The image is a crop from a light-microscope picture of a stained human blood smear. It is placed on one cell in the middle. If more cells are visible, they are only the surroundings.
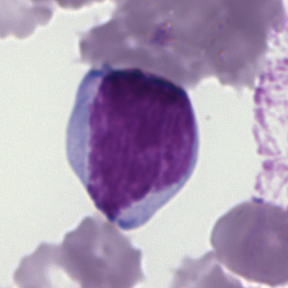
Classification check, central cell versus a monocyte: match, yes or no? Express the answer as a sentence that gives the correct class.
No, the central cell is classed as a myeloblast, not a monocyte.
